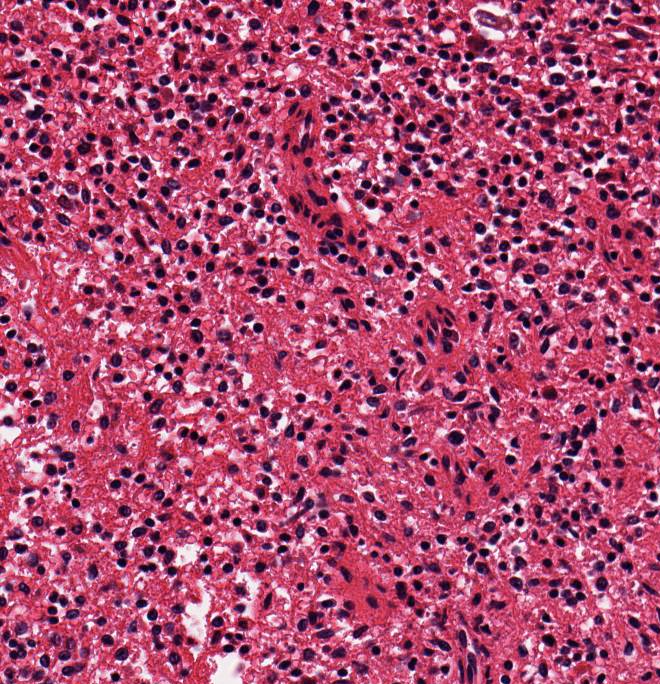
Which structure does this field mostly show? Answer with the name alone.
red pulp of the spleen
